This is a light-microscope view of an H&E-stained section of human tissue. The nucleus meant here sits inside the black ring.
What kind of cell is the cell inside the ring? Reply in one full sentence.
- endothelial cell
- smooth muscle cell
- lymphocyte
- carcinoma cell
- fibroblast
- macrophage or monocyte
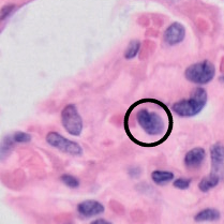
Placed in its cell category, the cell inside the ring is an endothelial cell.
